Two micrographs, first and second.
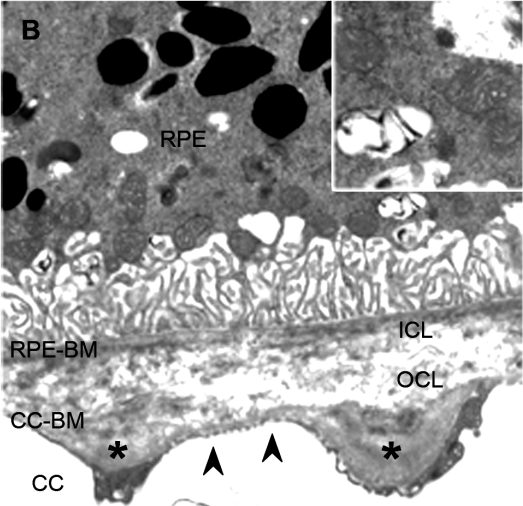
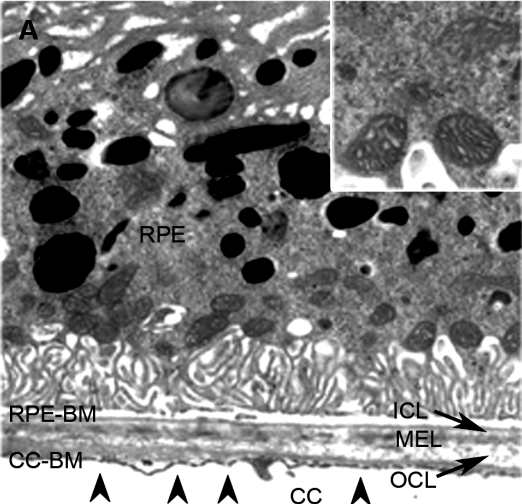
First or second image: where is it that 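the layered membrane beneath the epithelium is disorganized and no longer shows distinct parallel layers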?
the first image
